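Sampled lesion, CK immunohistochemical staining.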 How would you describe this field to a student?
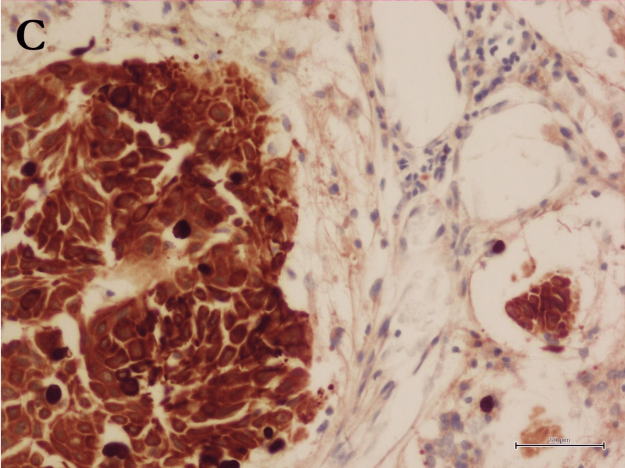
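Here a nest of tumor cells is stained intensely brown throughout the cytoplasm, so the outlines of the polygonal cells stand out against one another. Their nuclei show as rounded paler areas within the brown, and a few small cells are very darkly stained. Beside the nest, the loose fibrous tissue with its slender blue nuclei stays almost unstained. A small detached cluster of brown tumor cells lies within a space in the stroma.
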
